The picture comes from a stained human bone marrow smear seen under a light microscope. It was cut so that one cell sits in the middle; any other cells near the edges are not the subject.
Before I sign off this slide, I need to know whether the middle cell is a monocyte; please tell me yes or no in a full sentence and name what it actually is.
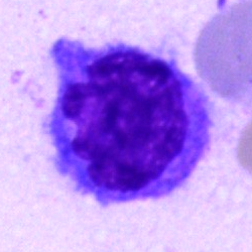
Yes, the central element of the crop is a monocyte.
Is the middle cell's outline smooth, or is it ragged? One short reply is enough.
The cell is outlined unevenly, the border being ragged or extended into projections.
